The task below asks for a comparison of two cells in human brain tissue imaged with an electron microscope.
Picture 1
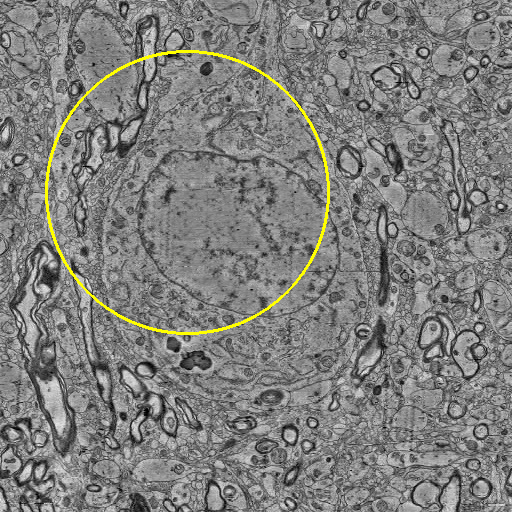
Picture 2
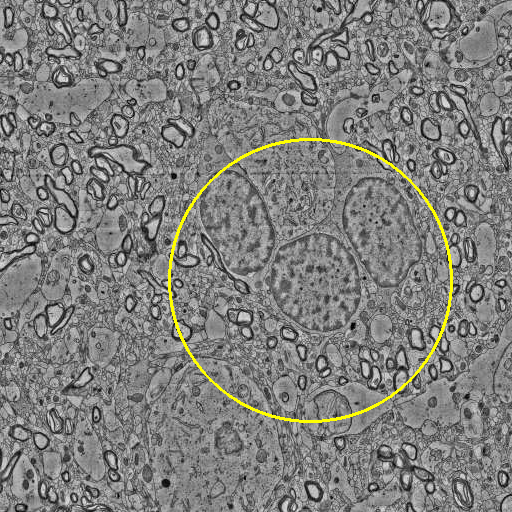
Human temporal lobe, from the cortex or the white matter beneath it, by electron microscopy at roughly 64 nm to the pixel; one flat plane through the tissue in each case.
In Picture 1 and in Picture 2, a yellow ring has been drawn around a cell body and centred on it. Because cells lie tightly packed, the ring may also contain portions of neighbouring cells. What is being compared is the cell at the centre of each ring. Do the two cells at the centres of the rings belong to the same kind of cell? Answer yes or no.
no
